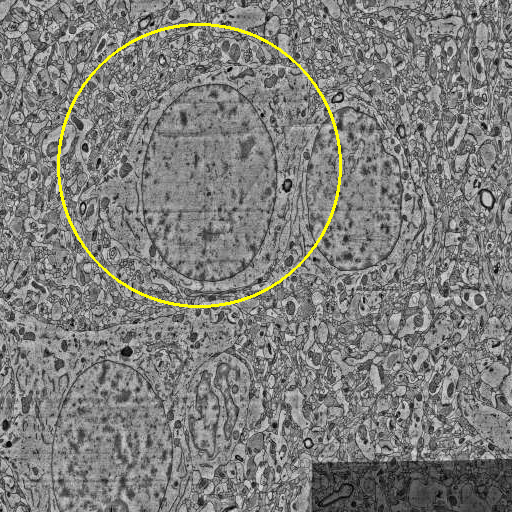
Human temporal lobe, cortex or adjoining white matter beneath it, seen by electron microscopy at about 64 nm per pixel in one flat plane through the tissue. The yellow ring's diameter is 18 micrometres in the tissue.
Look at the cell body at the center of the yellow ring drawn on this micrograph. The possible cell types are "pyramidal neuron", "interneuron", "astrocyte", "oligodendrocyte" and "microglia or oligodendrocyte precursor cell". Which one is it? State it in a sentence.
The cell in the middle of the ring is a pyramidal neuron.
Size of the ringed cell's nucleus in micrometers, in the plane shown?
In this plane, roughly 13 by 9 micrometres.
